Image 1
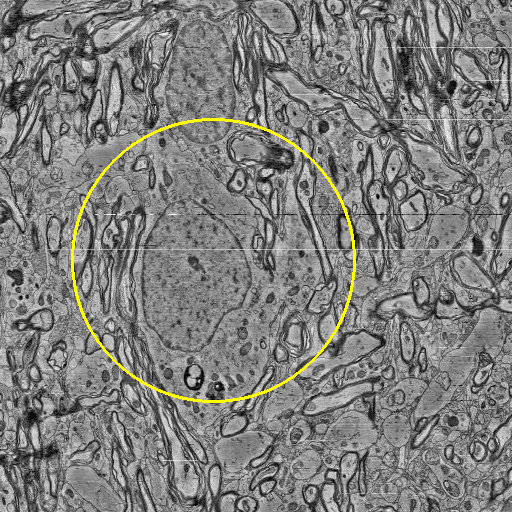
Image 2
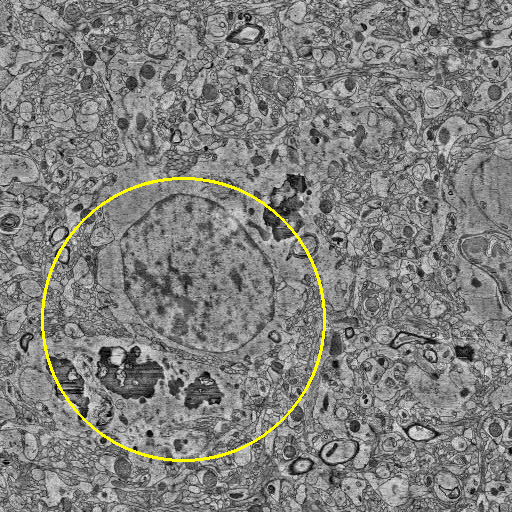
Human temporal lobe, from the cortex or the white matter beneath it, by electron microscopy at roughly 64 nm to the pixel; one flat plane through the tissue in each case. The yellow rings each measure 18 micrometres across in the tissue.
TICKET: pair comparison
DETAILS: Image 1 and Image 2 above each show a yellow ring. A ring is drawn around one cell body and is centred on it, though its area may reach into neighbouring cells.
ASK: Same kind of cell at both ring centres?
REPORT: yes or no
yes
